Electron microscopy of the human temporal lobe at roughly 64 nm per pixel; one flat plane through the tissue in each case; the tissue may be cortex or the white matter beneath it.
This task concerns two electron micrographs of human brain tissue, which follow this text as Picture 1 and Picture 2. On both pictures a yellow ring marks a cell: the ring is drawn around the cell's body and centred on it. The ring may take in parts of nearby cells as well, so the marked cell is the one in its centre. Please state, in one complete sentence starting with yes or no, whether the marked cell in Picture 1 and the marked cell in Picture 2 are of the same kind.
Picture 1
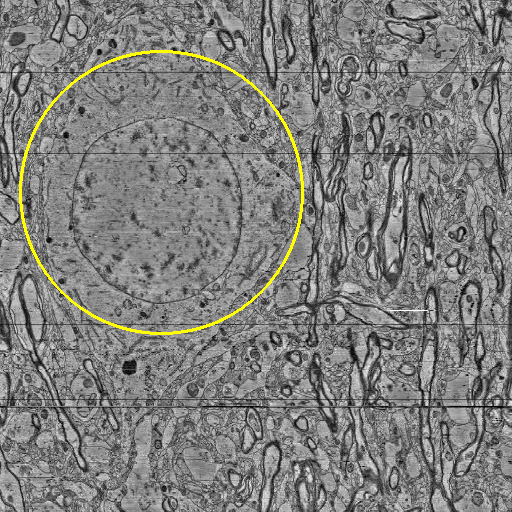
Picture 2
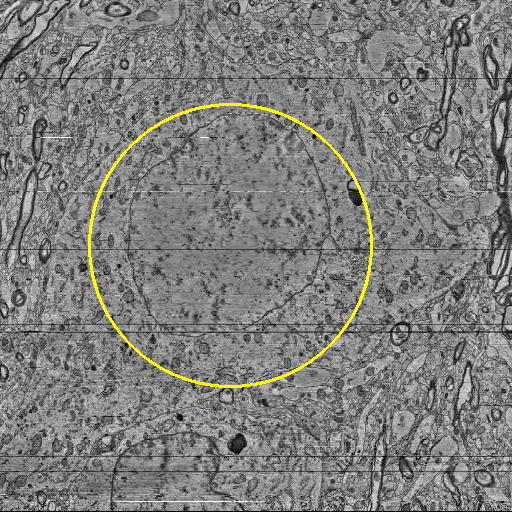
Yes, the marked cells in both pictures are of the same kind.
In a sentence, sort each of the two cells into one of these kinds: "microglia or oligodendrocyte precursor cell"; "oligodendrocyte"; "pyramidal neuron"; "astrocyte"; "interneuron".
In each picture the ringed cell is a pyramidal neuron.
